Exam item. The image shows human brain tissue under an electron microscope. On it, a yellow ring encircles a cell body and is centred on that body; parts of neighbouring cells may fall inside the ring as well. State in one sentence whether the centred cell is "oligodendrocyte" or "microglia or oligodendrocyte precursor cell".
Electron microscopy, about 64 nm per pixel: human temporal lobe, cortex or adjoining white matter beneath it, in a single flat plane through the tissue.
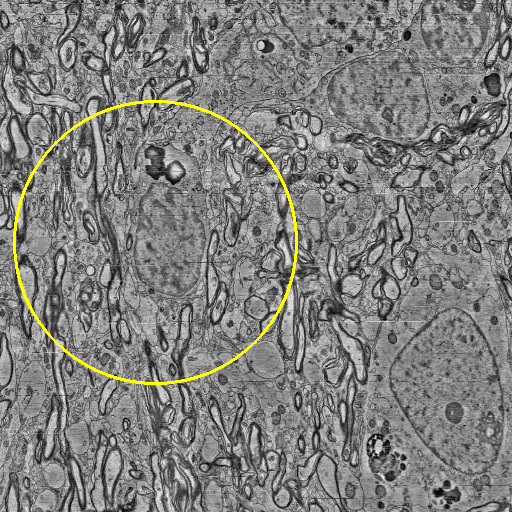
The cell body centred in the ring is an oligodendrocyte.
